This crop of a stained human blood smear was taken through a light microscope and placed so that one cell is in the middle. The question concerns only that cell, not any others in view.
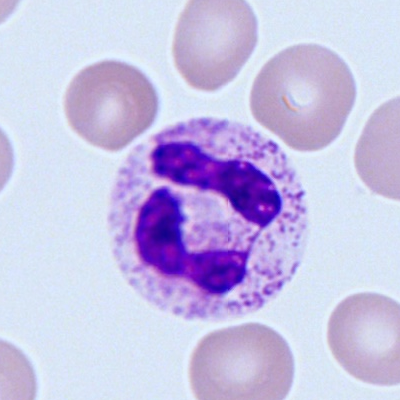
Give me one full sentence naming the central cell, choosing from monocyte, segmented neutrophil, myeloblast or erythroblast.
The middle cell in this particular crop is a segmented neutrophil.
